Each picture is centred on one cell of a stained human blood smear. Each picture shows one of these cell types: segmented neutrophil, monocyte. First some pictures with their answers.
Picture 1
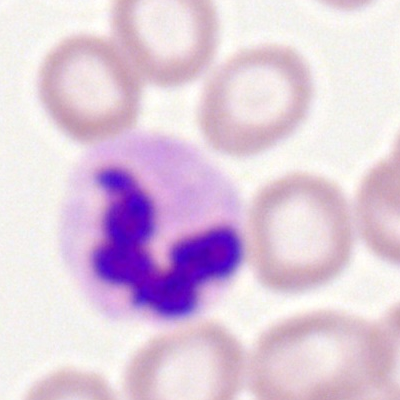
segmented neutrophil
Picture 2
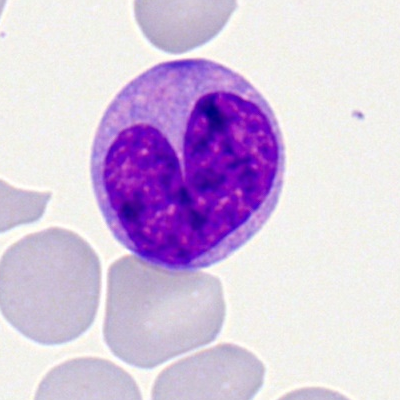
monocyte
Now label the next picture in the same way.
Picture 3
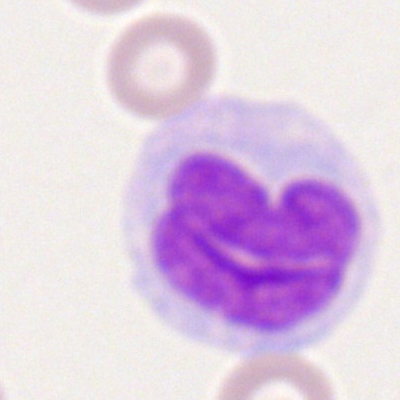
monocyte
